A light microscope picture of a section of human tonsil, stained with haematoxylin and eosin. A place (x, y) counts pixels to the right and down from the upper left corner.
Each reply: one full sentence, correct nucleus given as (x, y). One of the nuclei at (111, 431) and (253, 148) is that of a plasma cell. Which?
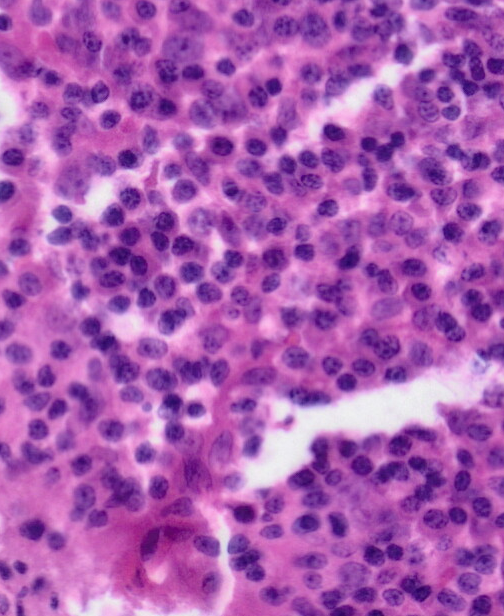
At (253, 148) lies the nucleus that belongs to a plasma cell.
